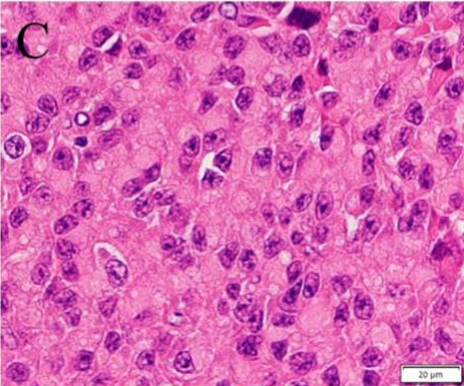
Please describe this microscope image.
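A solid sheet of closely packed tumor cells fills the field, with no glands or ducts between them. The cells are polygonal with ill-defined borders and a moderate amount of pink, finely granular cytoplasm. Their nuclei are round to oval, fairly uniform in size, and contain coarsely clumped dark purple chromatin, giving a speckled appearance; small nucleoli can be seen in some. Occasional cells have larger or darker nuclei. A few thin, clear spaces and slender strands of pink tissue lie between groups of cells.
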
